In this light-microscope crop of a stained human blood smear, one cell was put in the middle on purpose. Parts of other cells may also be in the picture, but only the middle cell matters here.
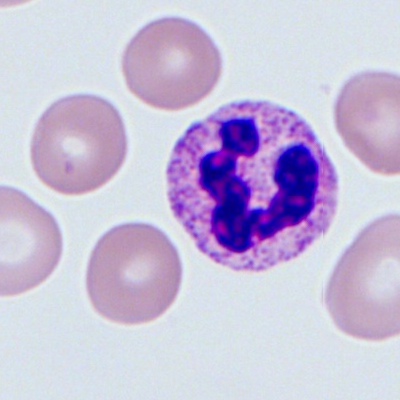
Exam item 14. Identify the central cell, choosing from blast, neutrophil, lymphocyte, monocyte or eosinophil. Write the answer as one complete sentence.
Located at the centre of the crop is a neutrophil.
